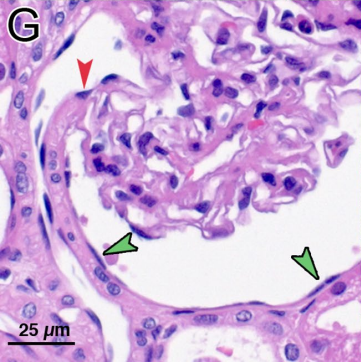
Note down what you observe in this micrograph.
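A glomerulus is shown with its capillary tuft, the surrounding urinary space and Bowman's capsule. The tuft is made of pink, lobulated capillary loops with open lumina, among which lie many dark purple, rounded to oval nuclei of the cells of the tuft. An empty crescent of urinary space separates the tuft from the capsule. The capsule is lined by a single layer of flat cells with thin, elongated nuclei. Outside it lie cross-sections of tubules with cuboidal cells, abundant pink granular cytoplasm and round central nuclei.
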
